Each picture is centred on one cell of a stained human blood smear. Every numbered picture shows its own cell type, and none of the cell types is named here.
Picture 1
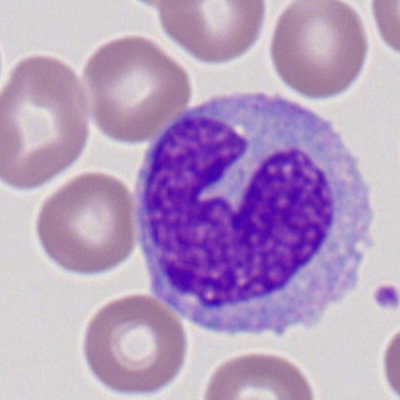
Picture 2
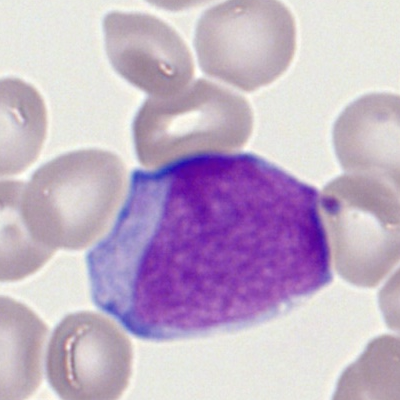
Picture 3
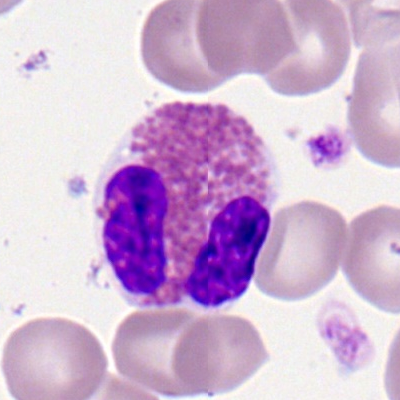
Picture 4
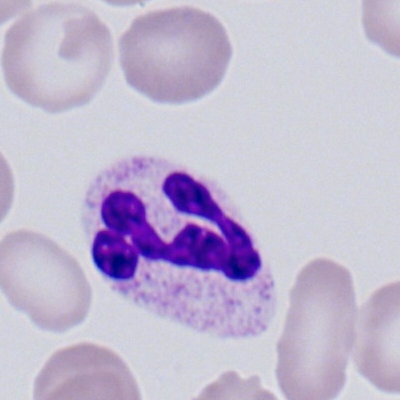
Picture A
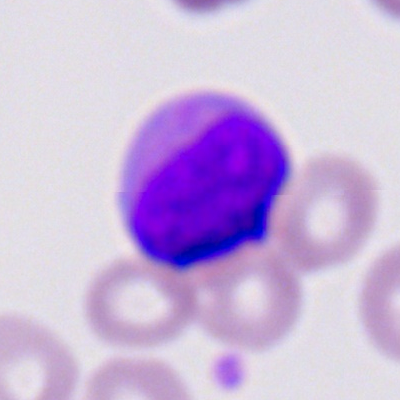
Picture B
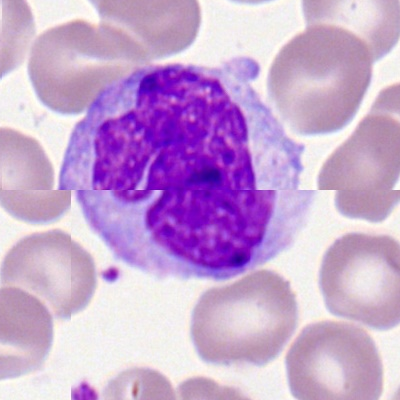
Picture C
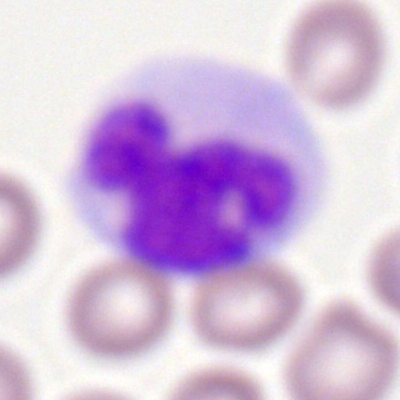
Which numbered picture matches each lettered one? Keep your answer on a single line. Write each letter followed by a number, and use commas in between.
A 2, B 1, C 1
